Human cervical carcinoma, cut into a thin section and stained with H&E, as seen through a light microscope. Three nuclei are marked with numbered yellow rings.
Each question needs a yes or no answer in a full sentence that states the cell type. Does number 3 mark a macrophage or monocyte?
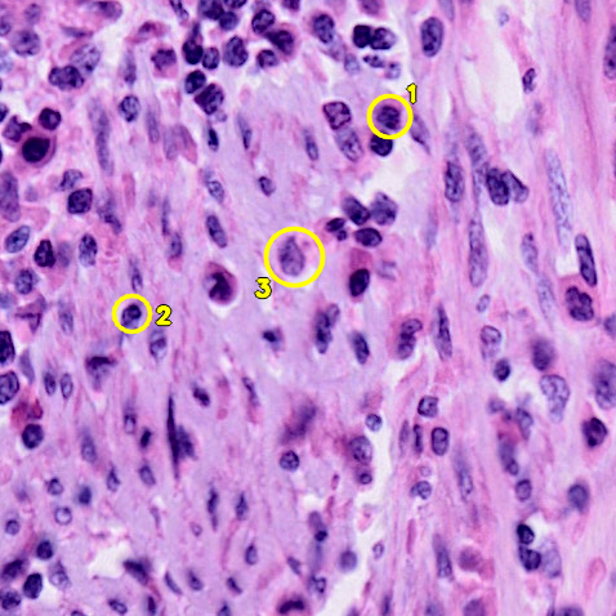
Yes, the cell marked by the number 3 is a macrophage or monocyte.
